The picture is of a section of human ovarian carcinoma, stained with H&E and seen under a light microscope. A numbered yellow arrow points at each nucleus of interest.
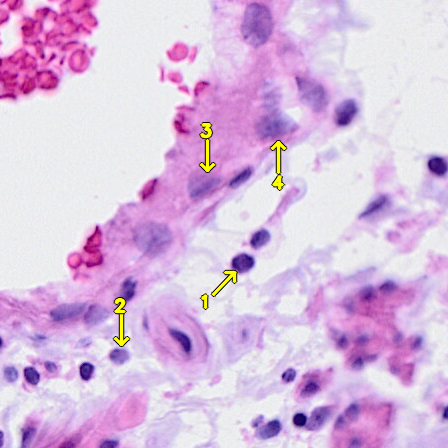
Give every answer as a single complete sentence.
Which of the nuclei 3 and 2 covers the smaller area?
Nucleus 2 covers less area, with nucleus 3 about 2 times as large.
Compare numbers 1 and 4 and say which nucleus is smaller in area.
The smaller nucleus is 1, and 4 covers roughly 2 times its area.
